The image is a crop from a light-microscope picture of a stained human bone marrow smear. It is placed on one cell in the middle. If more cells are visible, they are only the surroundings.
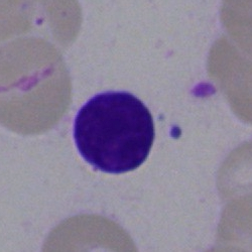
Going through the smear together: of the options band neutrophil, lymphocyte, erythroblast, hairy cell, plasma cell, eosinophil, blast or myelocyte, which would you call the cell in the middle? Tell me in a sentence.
Classification of the middle cell gives a lymphocyte.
